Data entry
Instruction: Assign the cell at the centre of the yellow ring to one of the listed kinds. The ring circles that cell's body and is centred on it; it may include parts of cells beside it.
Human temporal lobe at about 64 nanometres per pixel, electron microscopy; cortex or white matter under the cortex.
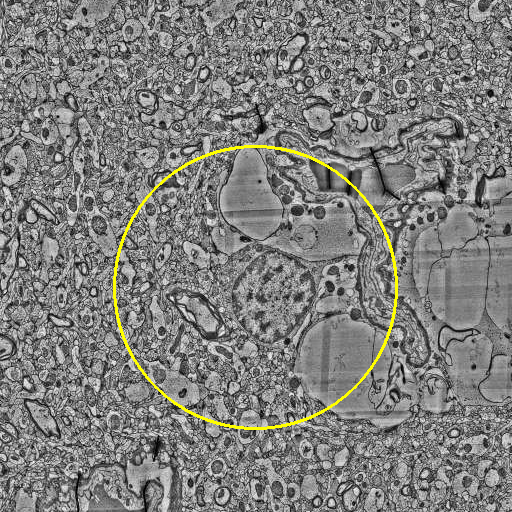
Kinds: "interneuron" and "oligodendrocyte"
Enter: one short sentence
The centre of the ring falls on an oligodendrocyte.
